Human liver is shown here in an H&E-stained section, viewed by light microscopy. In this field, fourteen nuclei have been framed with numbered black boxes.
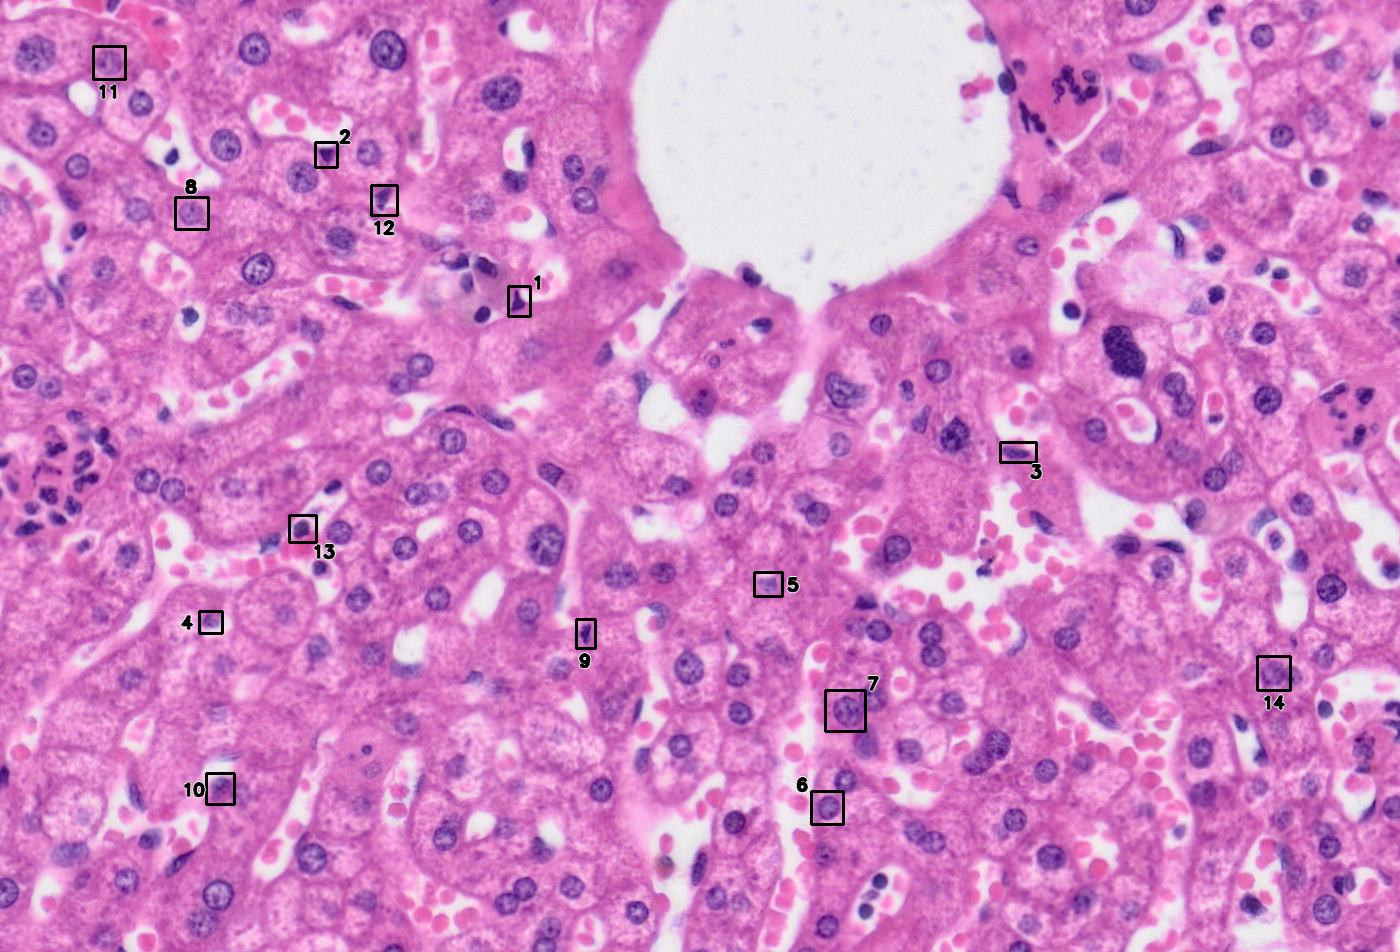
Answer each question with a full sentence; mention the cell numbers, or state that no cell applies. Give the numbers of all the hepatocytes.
By cell type, the cells numbered 6, 7, 8, 11 and 14 are hepatocytes.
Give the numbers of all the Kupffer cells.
The cells referred to by the numbers 4 and 10 are Kupffer cells.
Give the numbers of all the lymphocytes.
It is cell 13, and no other numbered cell, that is a lymphocyte.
